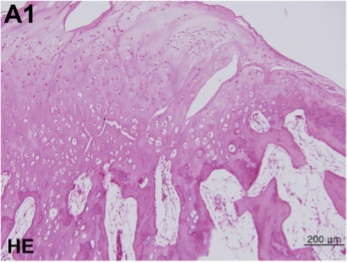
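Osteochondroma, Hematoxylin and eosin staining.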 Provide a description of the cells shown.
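This is chondroid tissue overlying bony trabeculae at low magnification. A thick band of pale purple matrix studded with many small chondrocytes in lacunae forms the upper half of the field, its surface covered by a thin fibrous layer. Below, irregular pink trabeculae of bone alternate with pale marrow spaces, with the cartilage reaching down between them.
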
